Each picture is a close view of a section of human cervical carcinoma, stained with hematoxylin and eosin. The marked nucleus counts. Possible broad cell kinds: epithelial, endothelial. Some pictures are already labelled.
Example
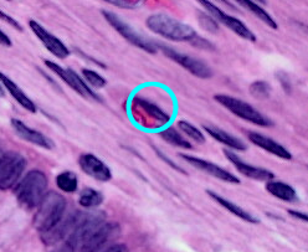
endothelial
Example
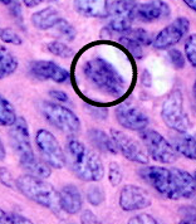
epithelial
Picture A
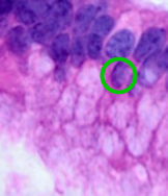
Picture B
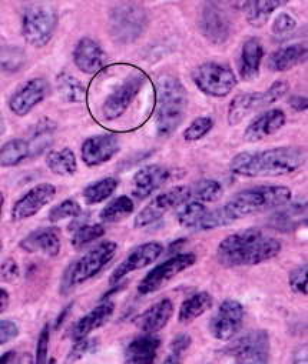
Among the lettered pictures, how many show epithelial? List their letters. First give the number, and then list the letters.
Count: 2 (A, B)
